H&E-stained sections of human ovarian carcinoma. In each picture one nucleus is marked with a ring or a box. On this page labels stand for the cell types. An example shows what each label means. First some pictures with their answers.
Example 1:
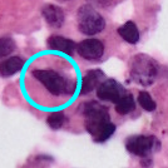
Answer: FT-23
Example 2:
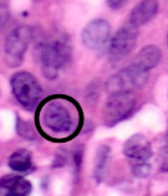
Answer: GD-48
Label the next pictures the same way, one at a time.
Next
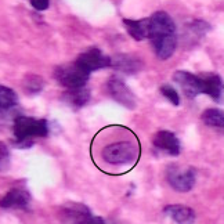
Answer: FT-23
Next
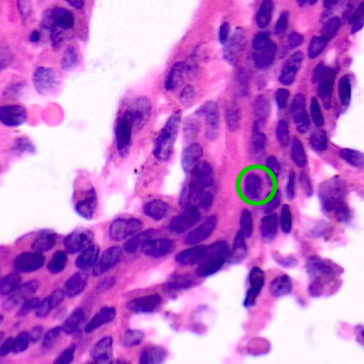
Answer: GD-48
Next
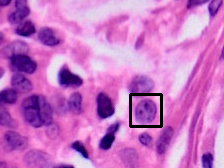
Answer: FT-23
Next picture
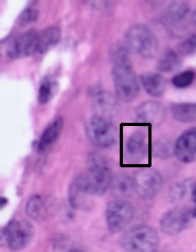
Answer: GD-48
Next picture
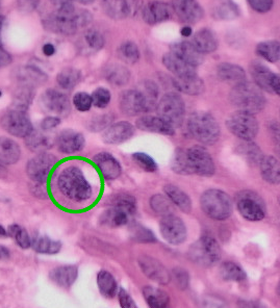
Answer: GD-48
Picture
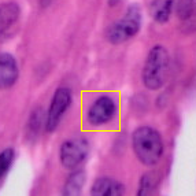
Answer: FT-23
